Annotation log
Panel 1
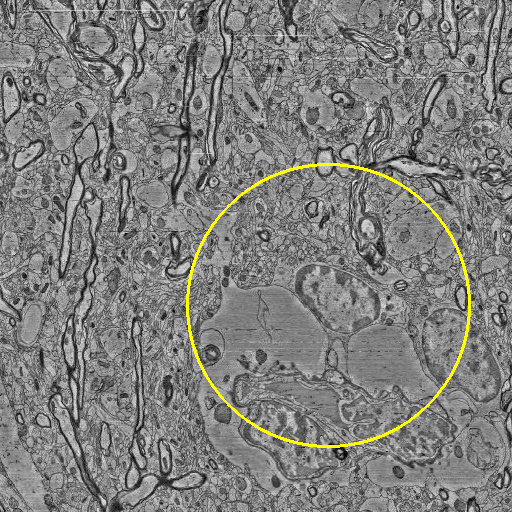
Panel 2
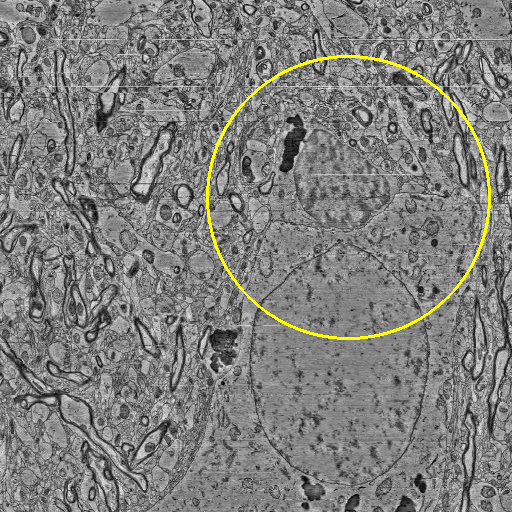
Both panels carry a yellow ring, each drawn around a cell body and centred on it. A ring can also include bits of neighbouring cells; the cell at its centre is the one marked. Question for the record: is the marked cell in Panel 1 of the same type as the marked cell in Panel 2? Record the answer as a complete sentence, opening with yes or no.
No, the marked cells in Panel 1 and Panel 2 are of two types.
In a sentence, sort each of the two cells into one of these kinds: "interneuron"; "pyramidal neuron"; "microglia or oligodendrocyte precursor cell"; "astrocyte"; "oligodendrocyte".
The first of the two cells is a microglial cell or oligodendrocyte precursor cell, and the second is an oligodendrocyte.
